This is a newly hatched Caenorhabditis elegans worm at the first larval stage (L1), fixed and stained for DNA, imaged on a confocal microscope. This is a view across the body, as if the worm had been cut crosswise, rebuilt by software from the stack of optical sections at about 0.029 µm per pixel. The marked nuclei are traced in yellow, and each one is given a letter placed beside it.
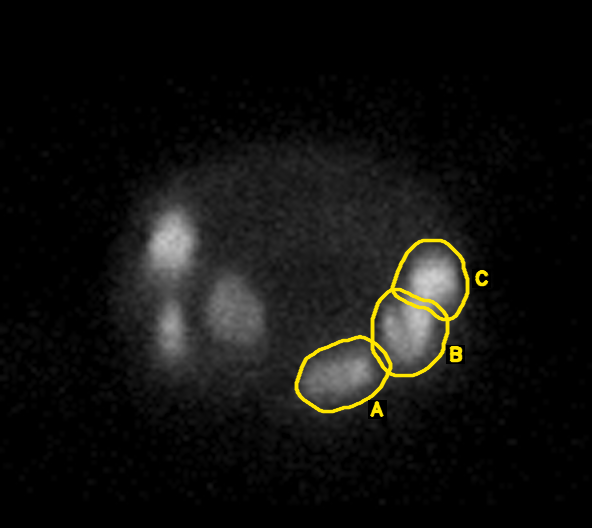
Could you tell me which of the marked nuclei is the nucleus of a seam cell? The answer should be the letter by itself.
A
